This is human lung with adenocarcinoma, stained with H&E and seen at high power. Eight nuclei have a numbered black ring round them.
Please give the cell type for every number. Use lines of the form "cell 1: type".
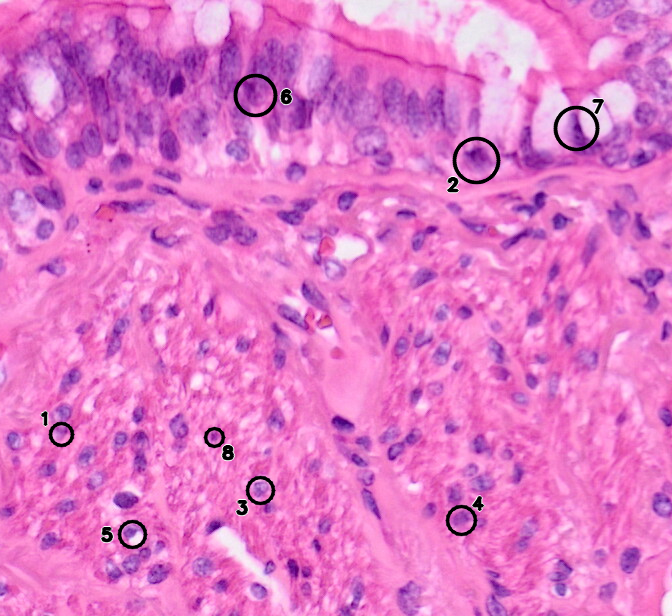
cell 1: smooth muscle cell or pericyte
cell 2: ciliated epithelial cell
cell 3: smooth muscle cell or pericyte
cell 4: smooth muscle cell or pericyte
cell 5: smooth muscle cell or pericyte
cell 6: ciliated epithelial cell
cell 7: ciliated epithelial cell
cell 8: smooth muscle cell or pericyte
